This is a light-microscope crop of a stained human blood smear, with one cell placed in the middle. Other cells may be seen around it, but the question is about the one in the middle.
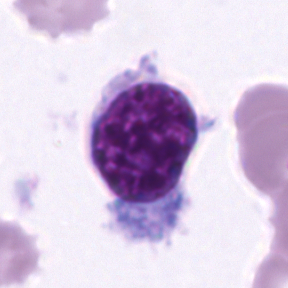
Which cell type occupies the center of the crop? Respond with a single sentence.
The cell sitting right in the middle is a plasma cell.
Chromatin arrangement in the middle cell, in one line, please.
This nucleus has coarsely clumped chromatin.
